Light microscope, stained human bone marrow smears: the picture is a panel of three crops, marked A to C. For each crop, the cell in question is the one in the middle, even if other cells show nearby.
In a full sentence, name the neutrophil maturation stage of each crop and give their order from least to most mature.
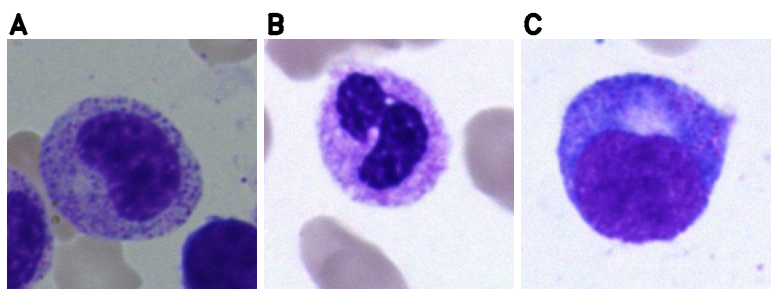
The sequence of maturity, beginning with the least mature, runs crop C (a promyelocyte), crop A (a metamyelocyte) and crop B (a segmented neutrophil).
